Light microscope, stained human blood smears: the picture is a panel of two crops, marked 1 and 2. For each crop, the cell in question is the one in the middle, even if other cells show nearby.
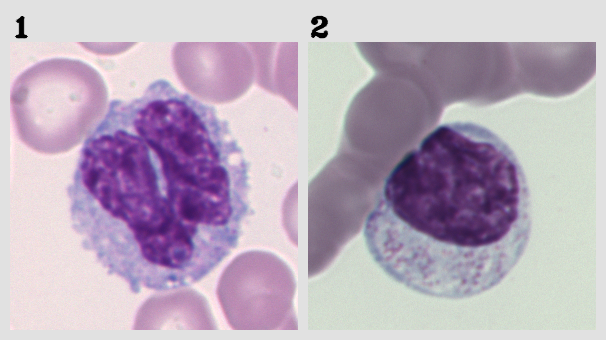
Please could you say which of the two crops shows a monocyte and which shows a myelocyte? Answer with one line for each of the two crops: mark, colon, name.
1: monocyte
2: myelocyte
